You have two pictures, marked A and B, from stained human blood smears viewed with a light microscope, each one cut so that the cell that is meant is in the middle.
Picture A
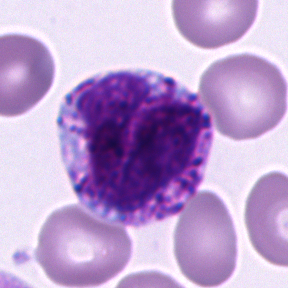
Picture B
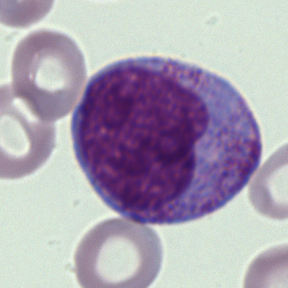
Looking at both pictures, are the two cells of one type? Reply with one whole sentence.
No, the types are not the same, since picture A shows a basophil and picture B a promyelocyte.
